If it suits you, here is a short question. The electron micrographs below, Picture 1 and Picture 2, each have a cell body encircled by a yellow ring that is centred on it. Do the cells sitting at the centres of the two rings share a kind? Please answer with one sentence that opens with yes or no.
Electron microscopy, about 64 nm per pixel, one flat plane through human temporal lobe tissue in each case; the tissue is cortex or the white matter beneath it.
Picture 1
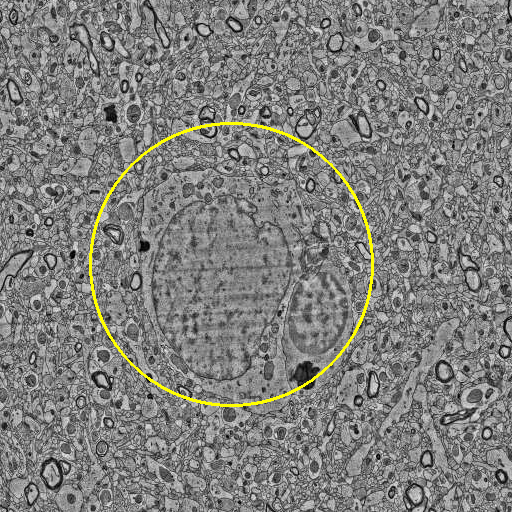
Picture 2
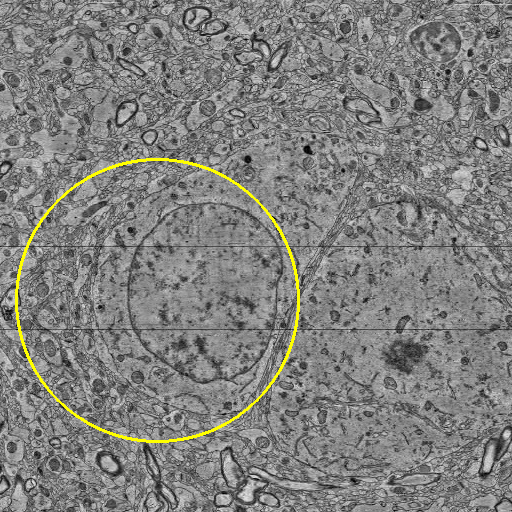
No, the two cells sitting at the ring centres fall into two kinds.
